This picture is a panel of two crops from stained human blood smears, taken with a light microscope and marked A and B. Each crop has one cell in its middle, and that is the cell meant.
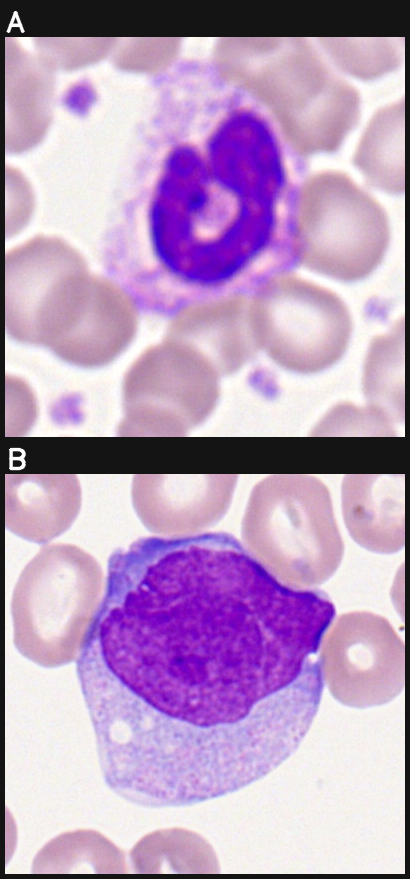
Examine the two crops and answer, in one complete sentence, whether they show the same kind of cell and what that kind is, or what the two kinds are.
No, enter a band neutrophil for crop A and a monocyte for crop B.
